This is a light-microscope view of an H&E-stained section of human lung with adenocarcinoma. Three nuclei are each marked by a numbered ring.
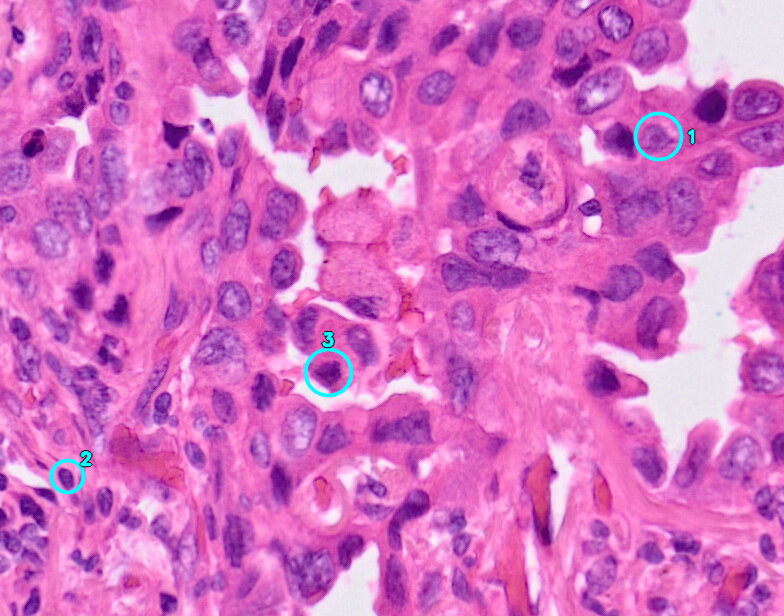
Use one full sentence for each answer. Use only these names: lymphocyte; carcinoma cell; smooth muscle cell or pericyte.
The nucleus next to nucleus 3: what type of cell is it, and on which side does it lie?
The nearest nucleus is that of a carcinoma cell and lies above and to the right of nucleus 3.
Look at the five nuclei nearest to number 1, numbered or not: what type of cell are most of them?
Most of the five nuclei nearest to number 1 are those of carcinoma cells.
